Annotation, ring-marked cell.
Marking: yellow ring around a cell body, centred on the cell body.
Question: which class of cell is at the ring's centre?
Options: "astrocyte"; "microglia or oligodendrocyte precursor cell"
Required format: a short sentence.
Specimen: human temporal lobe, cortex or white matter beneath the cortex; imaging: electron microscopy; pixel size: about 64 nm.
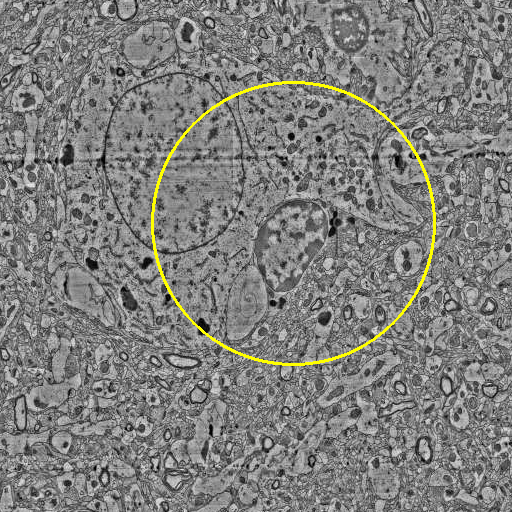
At the ring's centre is a microglial cell or oligodendrocyte precursor cell.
